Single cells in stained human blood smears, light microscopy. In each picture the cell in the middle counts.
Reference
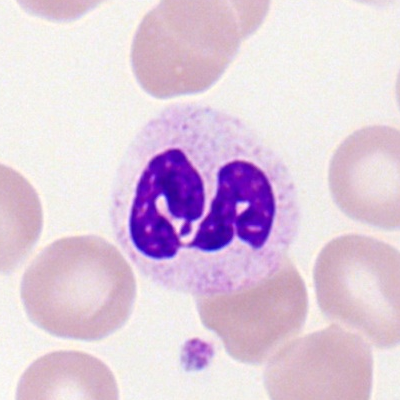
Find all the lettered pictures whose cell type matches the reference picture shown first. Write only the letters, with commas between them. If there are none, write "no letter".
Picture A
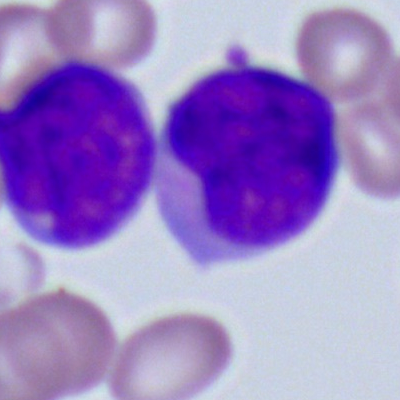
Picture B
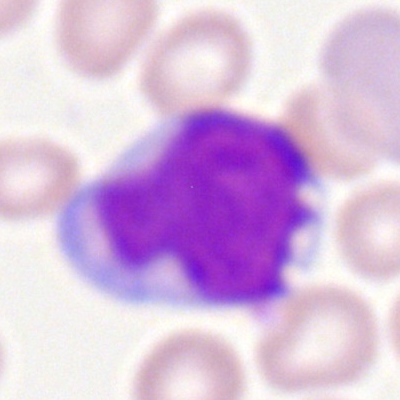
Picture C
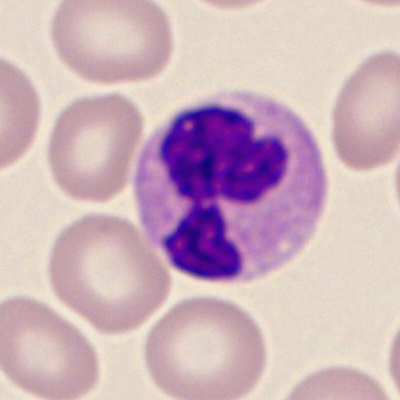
C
